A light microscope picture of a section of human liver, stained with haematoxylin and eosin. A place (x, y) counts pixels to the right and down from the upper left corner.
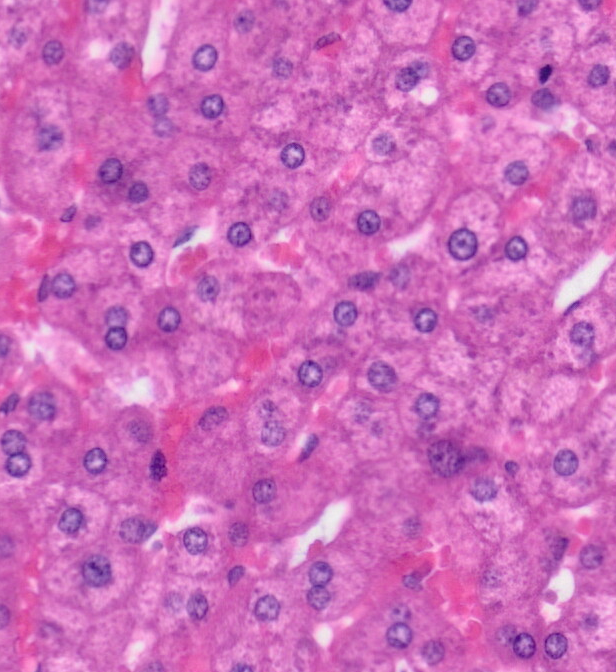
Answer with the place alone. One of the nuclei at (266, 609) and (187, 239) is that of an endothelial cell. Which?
(187, 239)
